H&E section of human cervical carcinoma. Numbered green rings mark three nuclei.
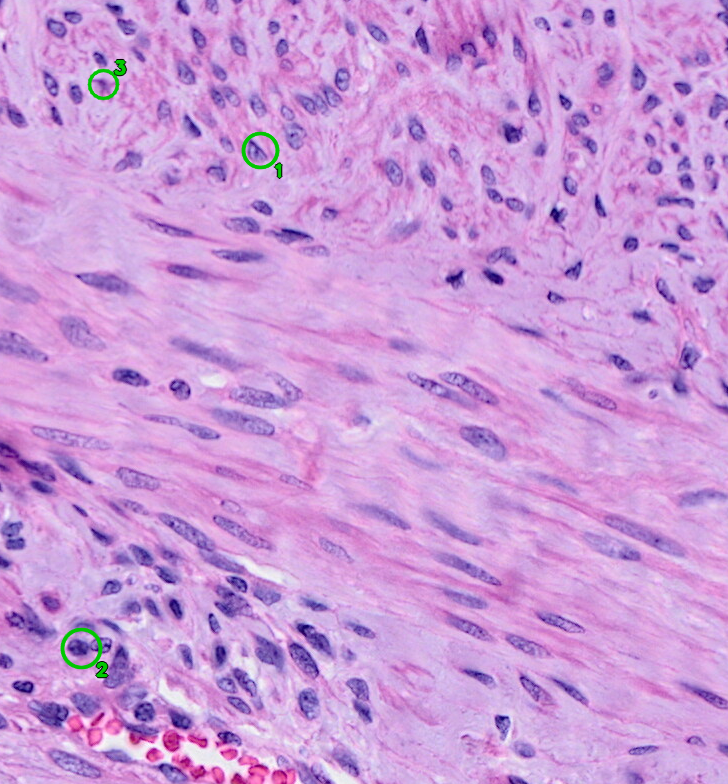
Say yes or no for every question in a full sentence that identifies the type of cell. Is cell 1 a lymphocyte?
No, rather than a lymphocyte, cell number 1 is a smooth muscle cell.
